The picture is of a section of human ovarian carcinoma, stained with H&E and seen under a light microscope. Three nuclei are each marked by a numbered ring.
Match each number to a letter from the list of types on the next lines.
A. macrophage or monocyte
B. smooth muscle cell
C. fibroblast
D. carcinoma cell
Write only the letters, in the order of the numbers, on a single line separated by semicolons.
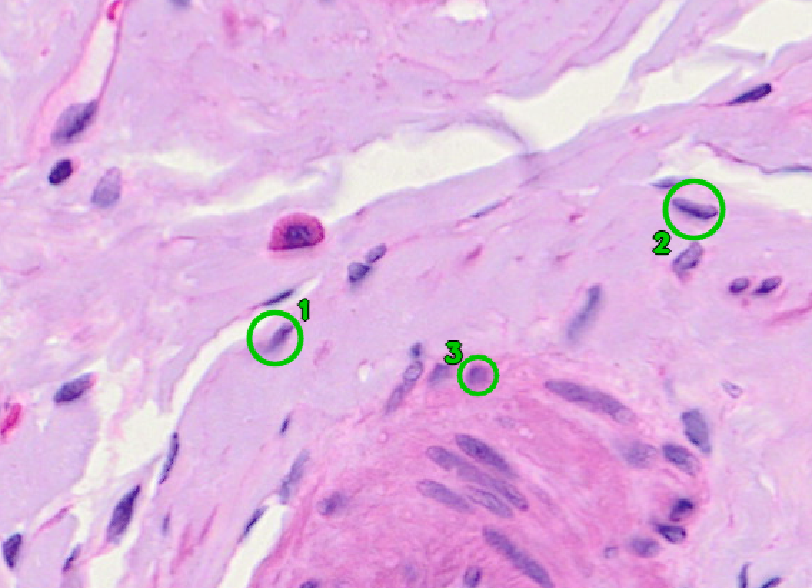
C; C; B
